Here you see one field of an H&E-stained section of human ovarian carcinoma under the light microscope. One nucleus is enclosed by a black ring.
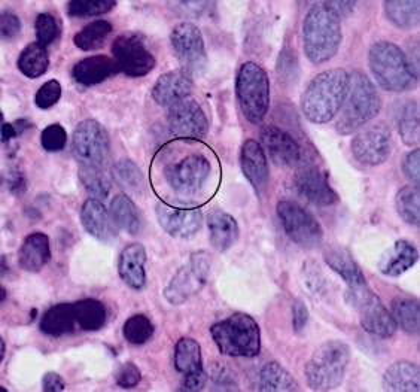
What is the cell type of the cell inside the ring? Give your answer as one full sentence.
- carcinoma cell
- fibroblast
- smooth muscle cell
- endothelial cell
For cell typing purposes, the cell inside the ring is a carcinoma cell.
